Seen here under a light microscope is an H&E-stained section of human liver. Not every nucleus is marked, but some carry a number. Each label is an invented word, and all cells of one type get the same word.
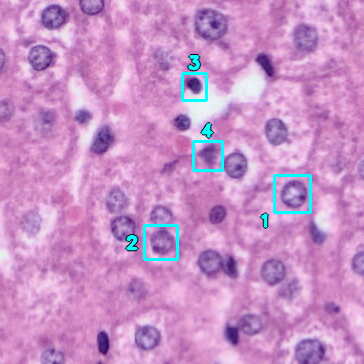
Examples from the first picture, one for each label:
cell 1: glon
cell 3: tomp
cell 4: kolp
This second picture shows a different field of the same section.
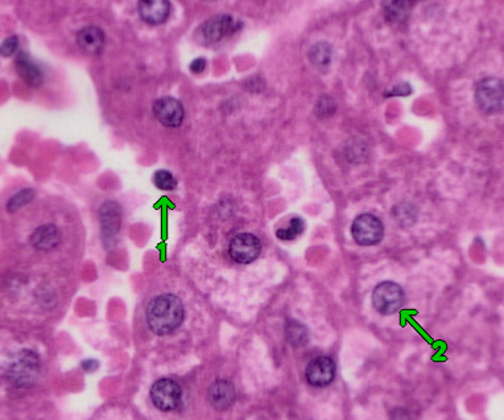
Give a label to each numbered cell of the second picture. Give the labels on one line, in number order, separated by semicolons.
tomp; glon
